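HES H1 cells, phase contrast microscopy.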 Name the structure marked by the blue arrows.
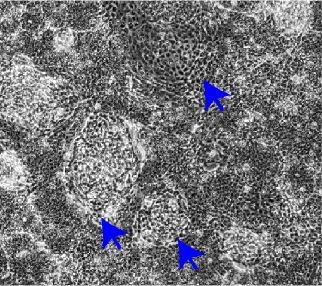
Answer: Neural rosettes.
